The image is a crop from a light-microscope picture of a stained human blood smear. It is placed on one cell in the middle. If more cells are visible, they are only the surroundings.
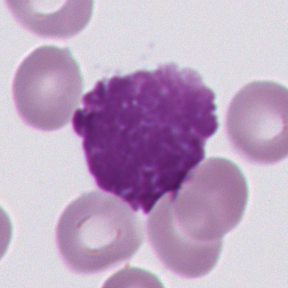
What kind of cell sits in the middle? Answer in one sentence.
In the centre of this crop there is a smudge cell.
